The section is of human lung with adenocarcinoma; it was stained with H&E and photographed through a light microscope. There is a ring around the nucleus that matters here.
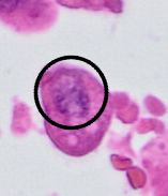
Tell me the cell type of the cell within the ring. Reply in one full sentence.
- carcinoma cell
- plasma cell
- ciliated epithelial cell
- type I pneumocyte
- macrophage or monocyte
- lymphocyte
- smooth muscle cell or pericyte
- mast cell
Within the stained tissue, the cell within the ring is a carcinoma cell.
